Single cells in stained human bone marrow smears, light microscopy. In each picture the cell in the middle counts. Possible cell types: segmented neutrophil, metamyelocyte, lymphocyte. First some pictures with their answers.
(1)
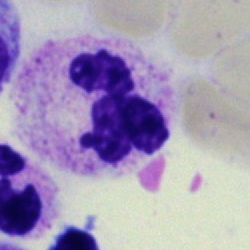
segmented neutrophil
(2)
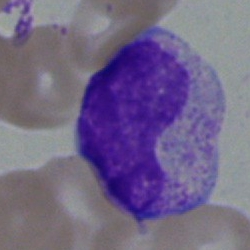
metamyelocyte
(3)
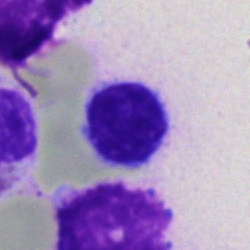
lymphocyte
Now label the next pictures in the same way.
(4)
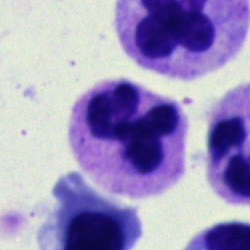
segmented neutrophil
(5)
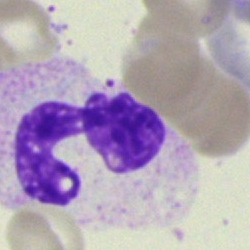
segmented neutrophil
